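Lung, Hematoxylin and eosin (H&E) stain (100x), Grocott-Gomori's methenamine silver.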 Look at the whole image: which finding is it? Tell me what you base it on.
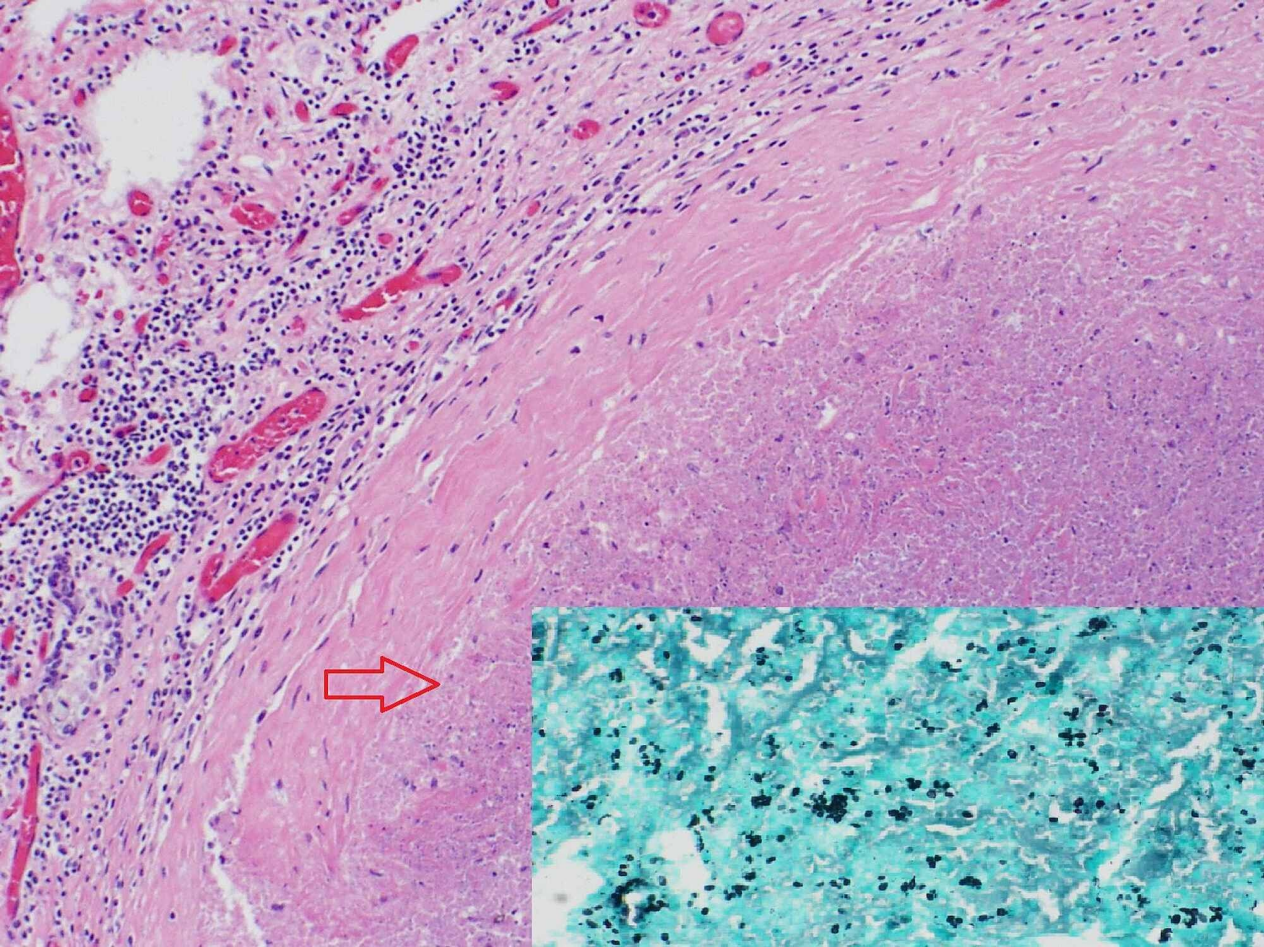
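Necrotizing granuloma. A broad zone of pale pink, granular material with scattered nuclear debris and no intact tissue architecture. A band of dense pink fibrous tissue with flattened spindle nuclei wraps around this zone. Outside the band lies a dense infiltrate of small dark round cells among congested blood vessels.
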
